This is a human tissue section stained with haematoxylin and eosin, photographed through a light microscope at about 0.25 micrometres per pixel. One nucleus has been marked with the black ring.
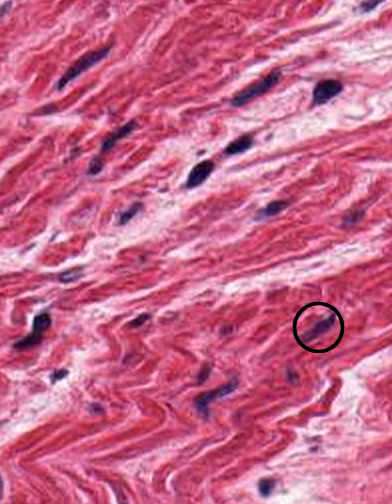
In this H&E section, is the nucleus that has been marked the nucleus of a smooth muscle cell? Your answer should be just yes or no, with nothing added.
yes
